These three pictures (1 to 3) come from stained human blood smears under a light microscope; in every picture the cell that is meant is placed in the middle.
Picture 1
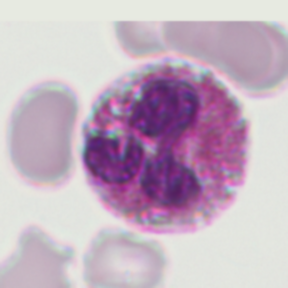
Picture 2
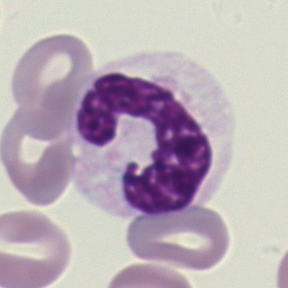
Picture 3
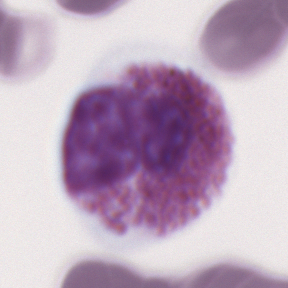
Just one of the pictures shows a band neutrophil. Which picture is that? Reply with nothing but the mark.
2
